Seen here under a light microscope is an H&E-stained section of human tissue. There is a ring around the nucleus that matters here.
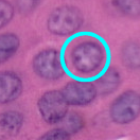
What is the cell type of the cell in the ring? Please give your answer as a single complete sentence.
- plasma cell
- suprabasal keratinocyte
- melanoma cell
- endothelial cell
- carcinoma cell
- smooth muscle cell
Labelled by cell type, the cell in the ring is a suprabasal keratinocyte.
